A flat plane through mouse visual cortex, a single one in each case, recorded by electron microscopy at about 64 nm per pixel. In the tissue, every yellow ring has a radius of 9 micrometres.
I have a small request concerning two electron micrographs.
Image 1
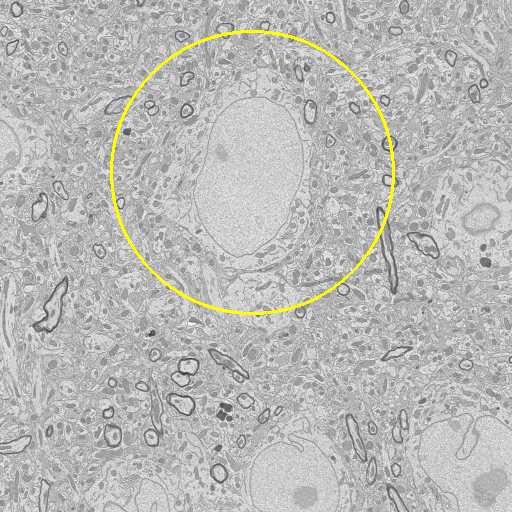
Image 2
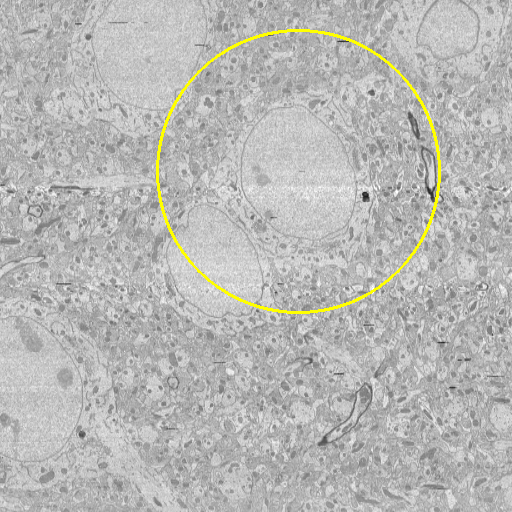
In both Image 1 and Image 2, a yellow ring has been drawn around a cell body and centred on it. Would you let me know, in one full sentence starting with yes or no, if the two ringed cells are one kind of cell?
Yes, the cells ringed in Image 1 and Image 2 are one kind of cell.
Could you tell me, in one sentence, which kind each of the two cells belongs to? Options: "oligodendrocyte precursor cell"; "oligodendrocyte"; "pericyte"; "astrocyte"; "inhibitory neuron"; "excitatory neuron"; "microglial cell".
The cell at the ring centre is an excitatory neuron in both pictures.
